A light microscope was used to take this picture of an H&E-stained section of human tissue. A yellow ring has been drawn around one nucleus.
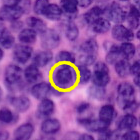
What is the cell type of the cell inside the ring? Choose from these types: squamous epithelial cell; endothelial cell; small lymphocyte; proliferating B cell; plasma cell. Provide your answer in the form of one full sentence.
In the tissue at hand, the cell inside the ring is a small lymphocyte.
